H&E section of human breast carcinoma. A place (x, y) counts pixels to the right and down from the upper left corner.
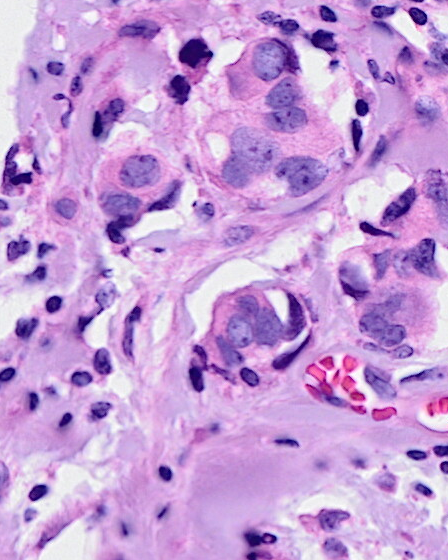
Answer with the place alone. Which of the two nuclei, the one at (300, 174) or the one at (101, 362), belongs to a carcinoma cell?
(300, 174)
